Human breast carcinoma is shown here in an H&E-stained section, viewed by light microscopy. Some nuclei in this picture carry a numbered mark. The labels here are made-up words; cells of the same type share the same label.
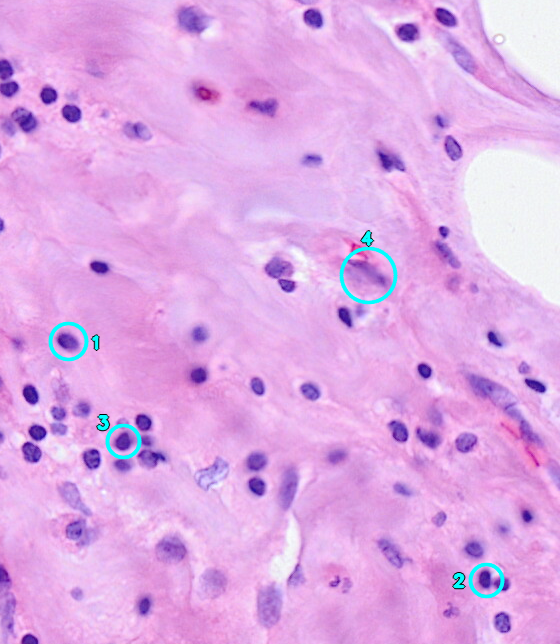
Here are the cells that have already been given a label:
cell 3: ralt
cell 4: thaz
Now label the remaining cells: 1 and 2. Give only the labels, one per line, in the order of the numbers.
ralt
ralt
